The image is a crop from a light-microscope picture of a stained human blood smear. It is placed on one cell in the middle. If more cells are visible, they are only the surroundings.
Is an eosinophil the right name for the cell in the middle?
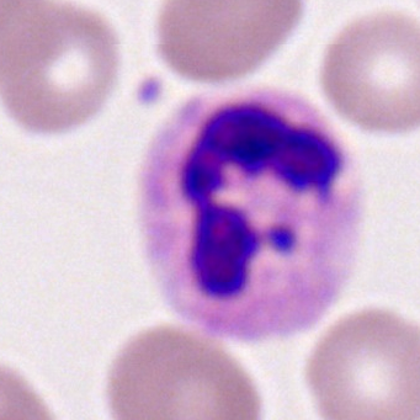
no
